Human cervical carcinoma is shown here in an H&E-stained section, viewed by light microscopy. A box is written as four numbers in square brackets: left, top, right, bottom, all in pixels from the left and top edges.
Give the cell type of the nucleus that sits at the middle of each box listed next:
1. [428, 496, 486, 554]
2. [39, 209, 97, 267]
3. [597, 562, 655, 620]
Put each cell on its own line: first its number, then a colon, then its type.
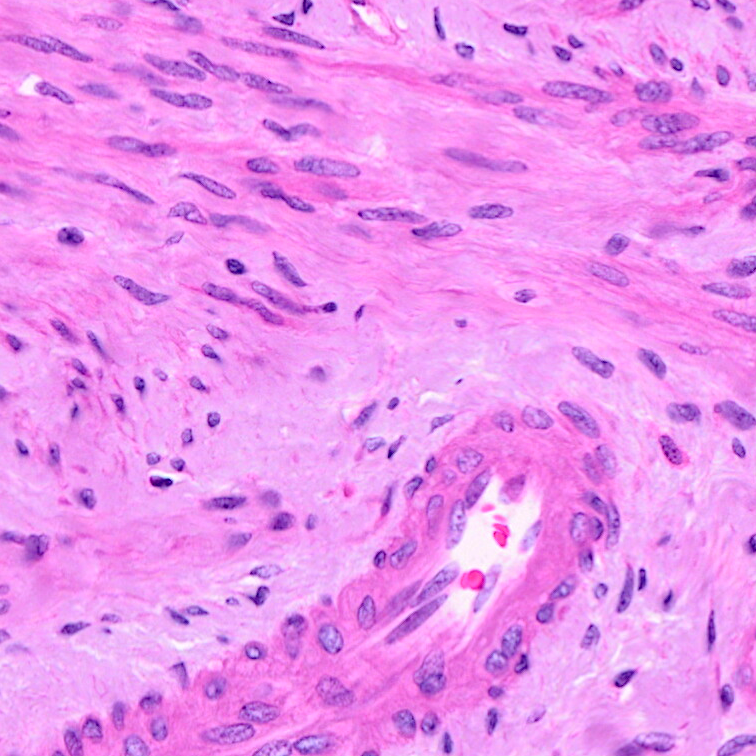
1: endothelial cell
2: lymphocyte
3: fibroblast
